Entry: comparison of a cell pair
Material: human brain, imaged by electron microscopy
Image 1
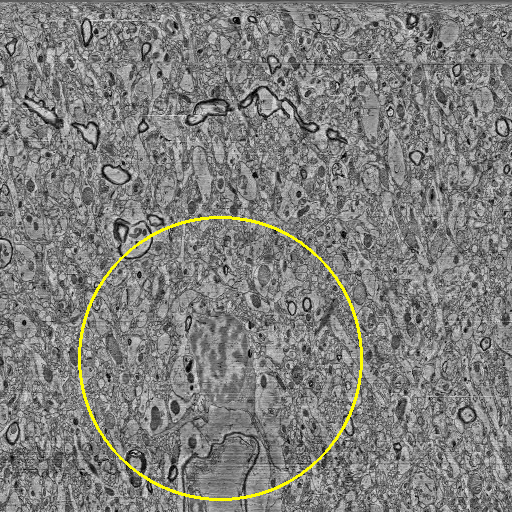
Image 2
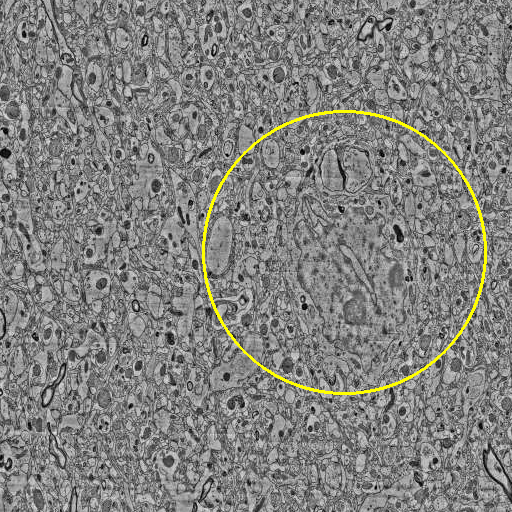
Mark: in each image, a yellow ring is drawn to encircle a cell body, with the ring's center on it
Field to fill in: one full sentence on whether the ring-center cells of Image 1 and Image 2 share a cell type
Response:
No, Image 1 and Image 2 show ring-center cells of two separate types.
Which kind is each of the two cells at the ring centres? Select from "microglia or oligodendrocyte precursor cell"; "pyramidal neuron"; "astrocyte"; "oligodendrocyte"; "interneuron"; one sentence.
The cell at the centre of the ring is an oligodendrocyte in the first picture and an interneuron in the second.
